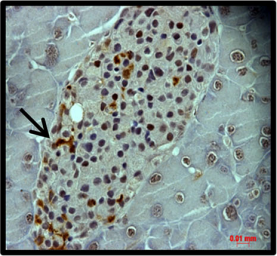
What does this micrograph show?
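A pancreatic islet is seen as an oval cluster of small, closely packed cells with round nuclei, set among larger exocrine cells with paler cytoplasm. A few cells at the islet's edge carry brown staining, one of them marked by the arrow, while most nuclei are blue-purple.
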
